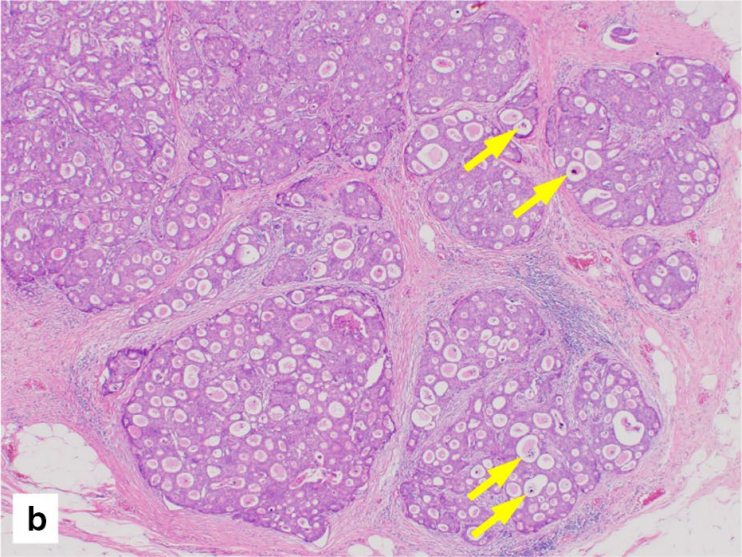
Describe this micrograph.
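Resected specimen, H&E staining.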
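Tumour tissue is arranged as large, rounded nests of closely packed epithelial cells with purple nuclei. Within each nest are many round, punched-out spaces, giving a sieve-like, cribriform pattern. The nests are separated by bands of pale pink fibrous stroma, and clear fat cells border the tissue at the lower left and right. A few lumens contain small, dense, dark purple round bodies, consistent with microcalcifications.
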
